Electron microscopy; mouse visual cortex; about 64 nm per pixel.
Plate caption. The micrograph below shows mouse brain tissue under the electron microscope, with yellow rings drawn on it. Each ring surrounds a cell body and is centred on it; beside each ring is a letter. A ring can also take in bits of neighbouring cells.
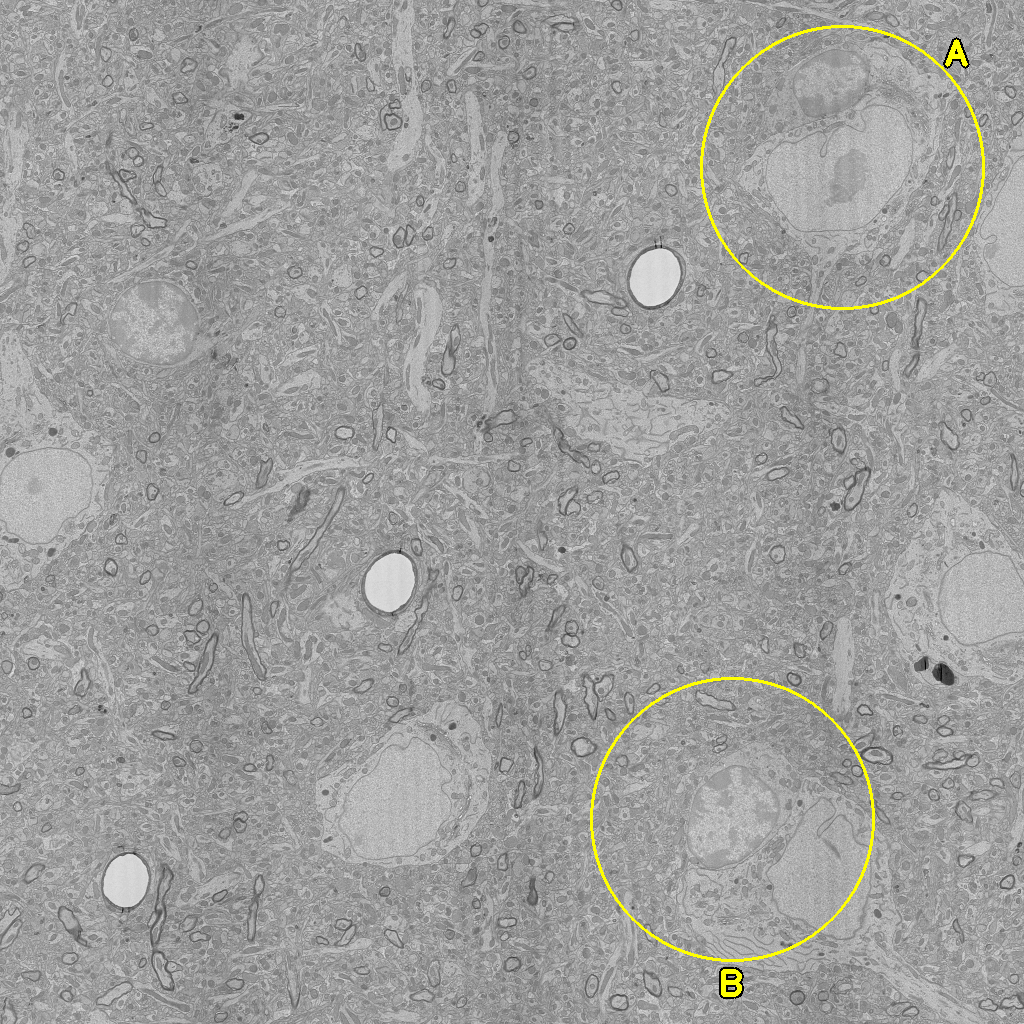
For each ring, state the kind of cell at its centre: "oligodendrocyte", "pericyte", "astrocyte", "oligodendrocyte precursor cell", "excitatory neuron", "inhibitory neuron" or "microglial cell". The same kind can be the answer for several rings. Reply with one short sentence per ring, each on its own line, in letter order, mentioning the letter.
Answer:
Ring A is drawn around an excitatory neuron.
Ring B is drawn around an oligodendrocyte.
